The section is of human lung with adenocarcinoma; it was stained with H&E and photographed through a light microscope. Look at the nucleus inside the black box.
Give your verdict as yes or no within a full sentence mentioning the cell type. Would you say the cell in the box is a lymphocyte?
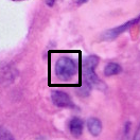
Yes, the claim that the cell in the box is a lymphocyte holds true.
